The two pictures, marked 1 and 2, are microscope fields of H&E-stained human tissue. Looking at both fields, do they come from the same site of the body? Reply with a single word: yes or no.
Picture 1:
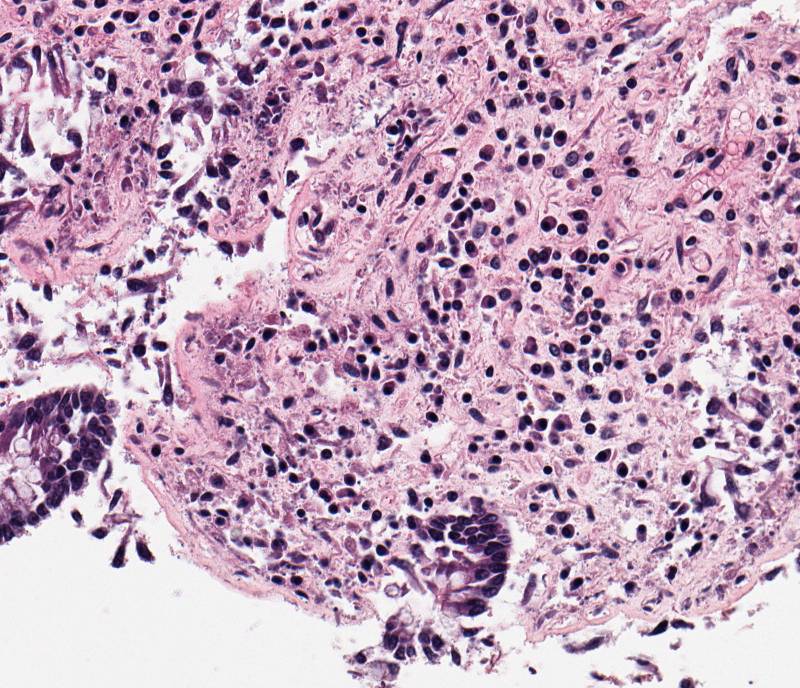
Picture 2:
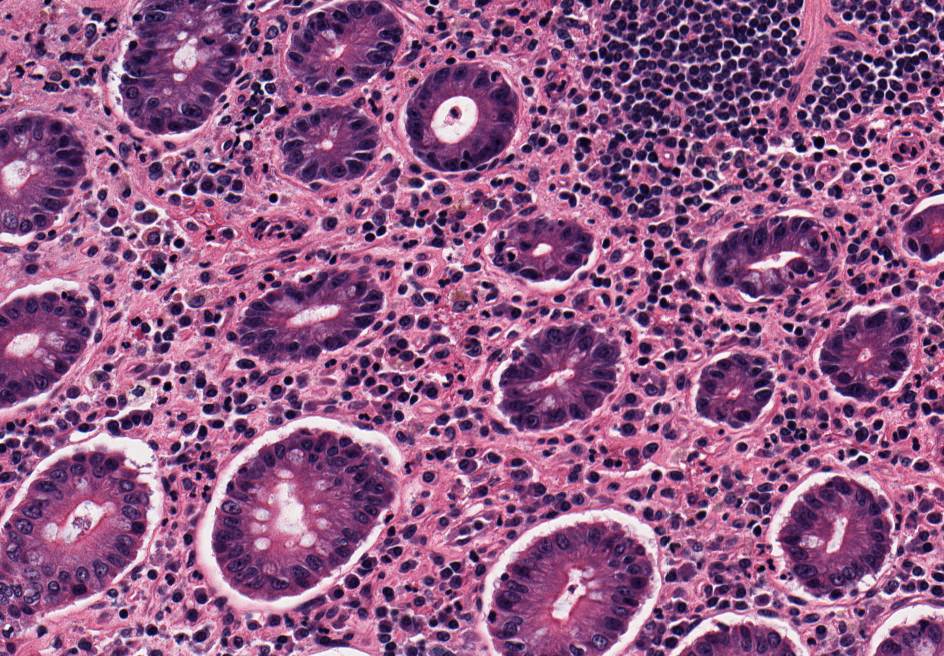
yes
